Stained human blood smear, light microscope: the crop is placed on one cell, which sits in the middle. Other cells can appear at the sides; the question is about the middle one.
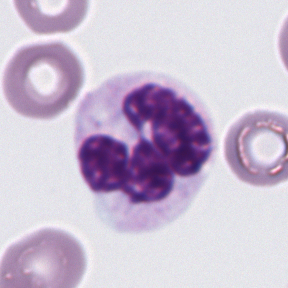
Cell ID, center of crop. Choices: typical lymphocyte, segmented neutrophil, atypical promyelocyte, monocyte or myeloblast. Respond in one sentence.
The target cell in the middle of the crop is a segmented neutrophil.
